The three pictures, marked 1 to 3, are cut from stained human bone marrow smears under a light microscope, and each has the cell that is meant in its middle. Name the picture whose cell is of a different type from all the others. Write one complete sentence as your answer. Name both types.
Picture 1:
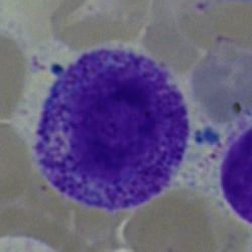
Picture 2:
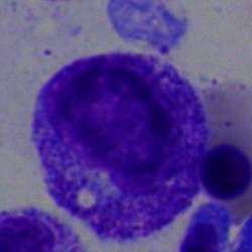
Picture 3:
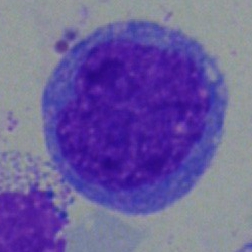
Unlike the rest, which show myelocytes, picture 3 shows a blast.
